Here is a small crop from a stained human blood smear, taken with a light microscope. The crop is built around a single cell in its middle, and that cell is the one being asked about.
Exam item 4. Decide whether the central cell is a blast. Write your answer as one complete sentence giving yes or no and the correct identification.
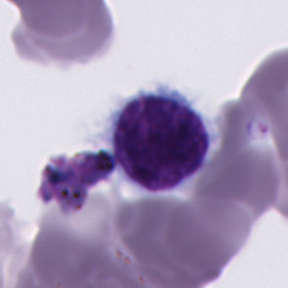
No, the cell under consideration is a hairy cell instead of a blast.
